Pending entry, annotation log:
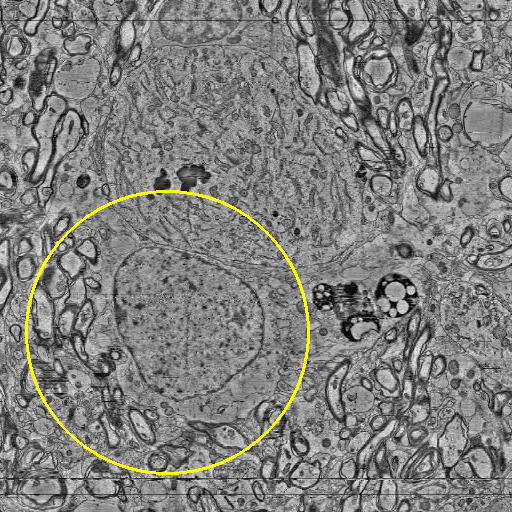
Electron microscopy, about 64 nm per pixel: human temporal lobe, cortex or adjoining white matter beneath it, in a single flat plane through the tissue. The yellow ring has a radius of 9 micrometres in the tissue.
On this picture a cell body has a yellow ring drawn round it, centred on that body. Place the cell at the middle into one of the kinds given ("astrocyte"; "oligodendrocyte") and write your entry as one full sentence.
The cell body at the middle of the yellow ring belongs to an astrocyte.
